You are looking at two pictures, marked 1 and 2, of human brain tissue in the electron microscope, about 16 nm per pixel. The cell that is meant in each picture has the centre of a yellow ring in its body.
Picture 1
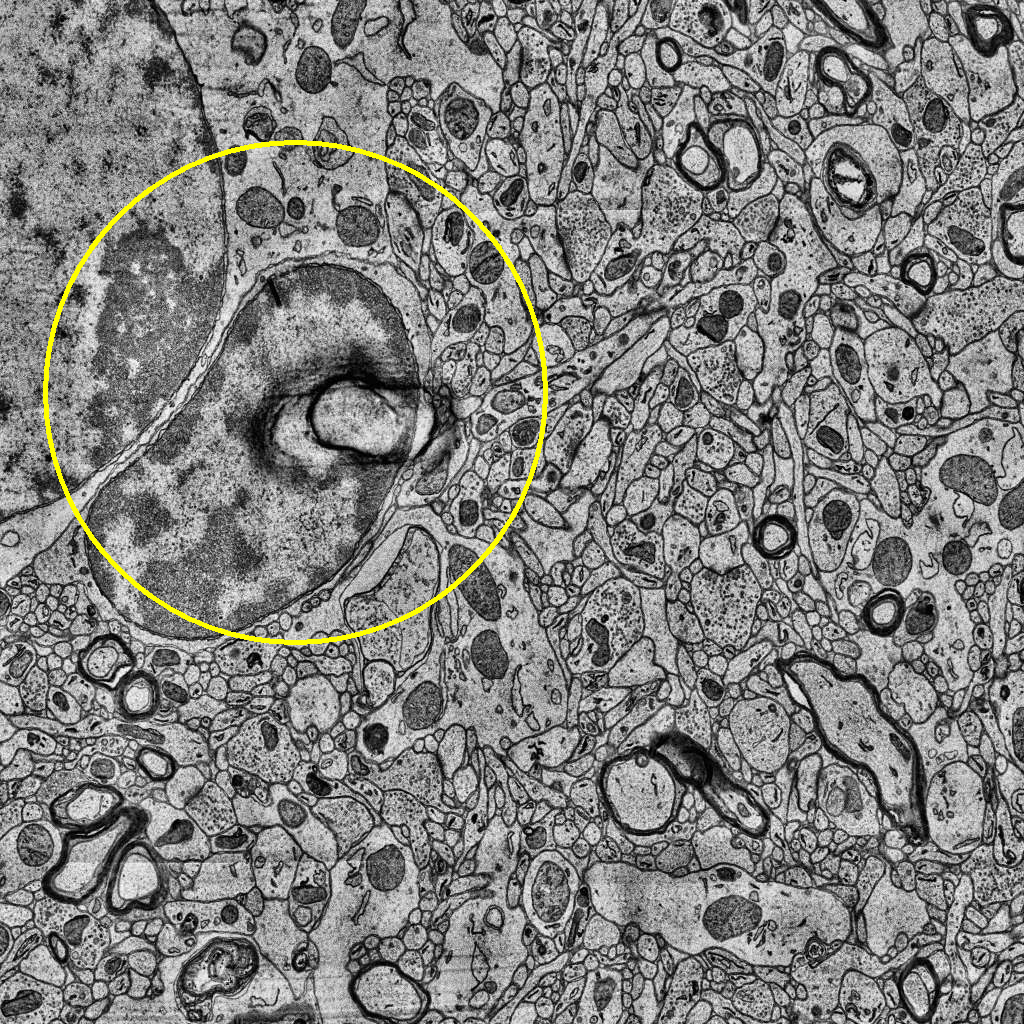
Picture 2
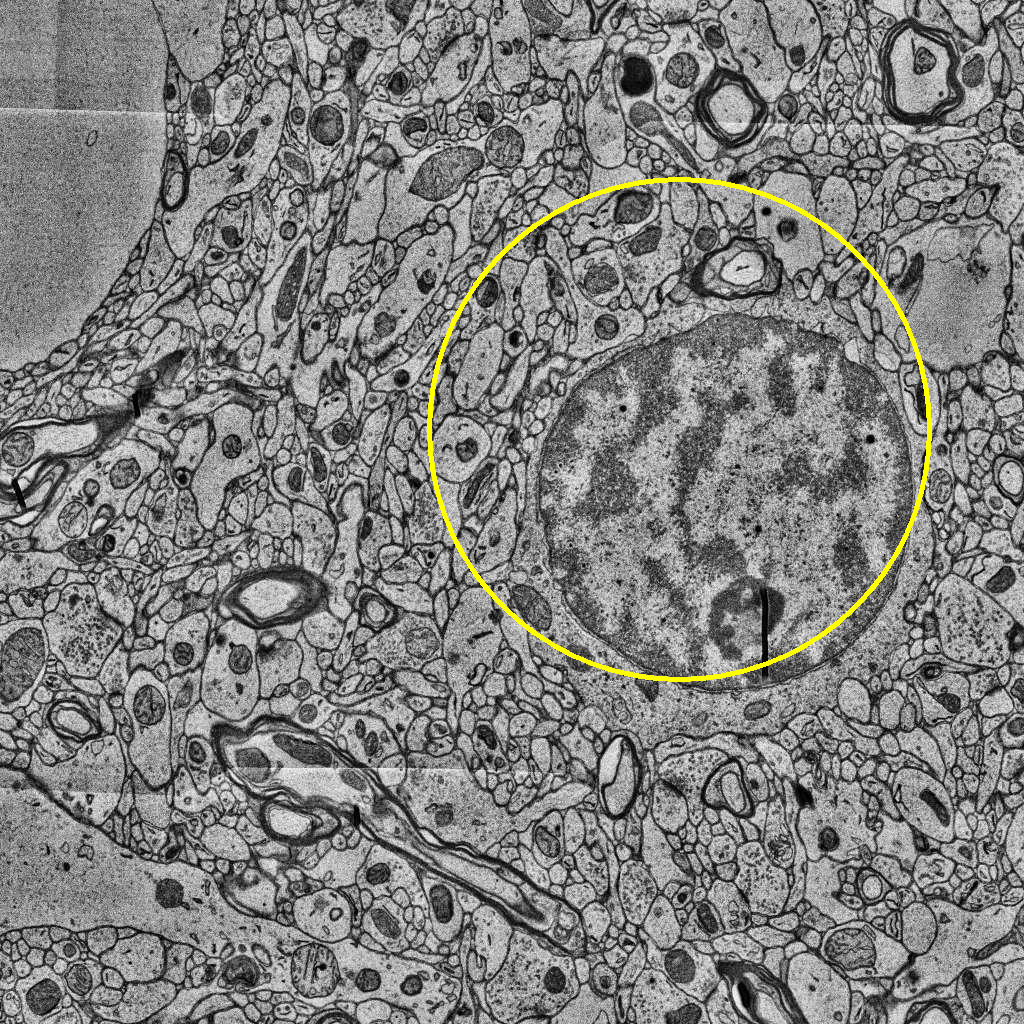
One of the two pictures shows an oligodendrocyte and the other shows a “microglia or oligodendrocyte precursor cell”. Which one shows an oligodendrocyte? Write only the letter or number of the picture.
2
